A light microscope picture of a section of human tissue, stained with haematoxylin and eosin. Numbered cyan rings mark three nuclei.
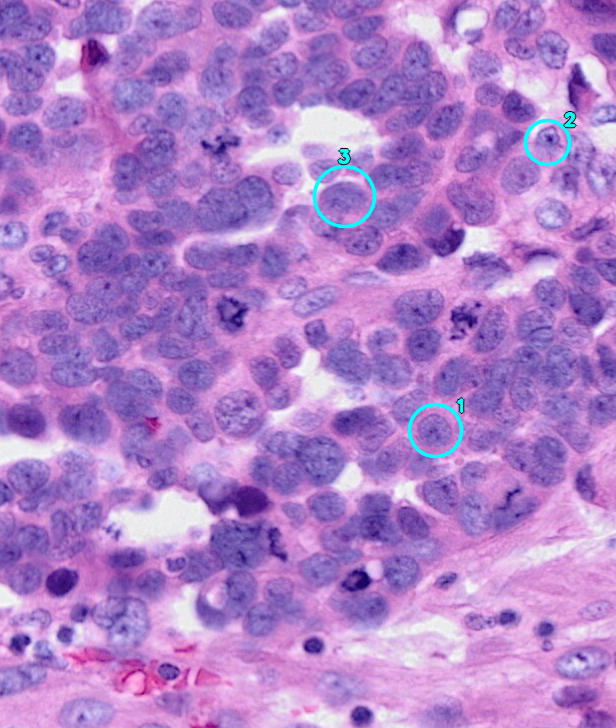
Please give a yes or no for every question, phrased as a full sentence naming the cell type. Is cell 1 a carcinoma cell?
Yes, the one with the number 1 is a carcinoma cell.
